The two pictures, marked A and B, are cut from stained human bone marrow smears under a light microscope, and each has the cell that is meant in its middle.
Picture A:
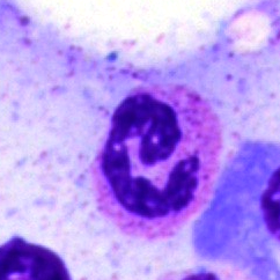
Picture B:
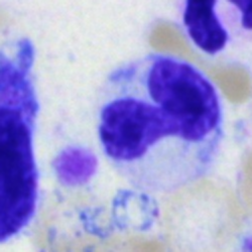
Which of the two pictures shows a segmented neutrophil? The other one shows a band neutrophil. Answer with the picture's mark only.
A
